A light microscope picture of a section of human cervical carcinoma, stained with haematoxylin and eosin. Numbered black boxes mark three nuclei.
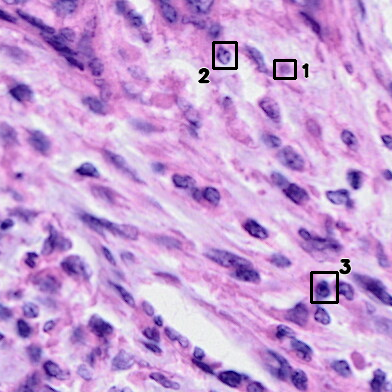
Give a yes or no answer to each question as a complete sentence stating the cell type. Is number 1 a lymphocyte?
No, cell 1 should be classed as a fibroblast, not as a lymphocyte.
